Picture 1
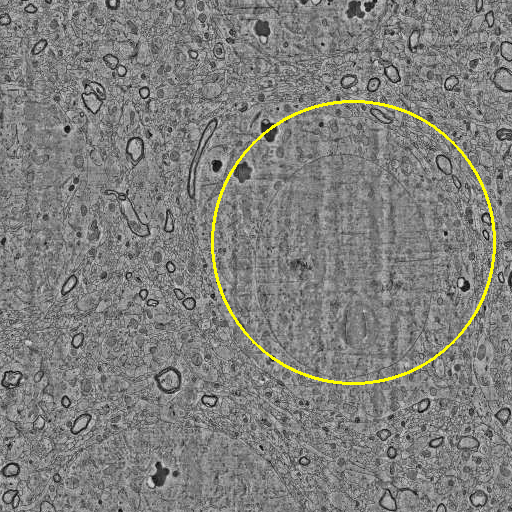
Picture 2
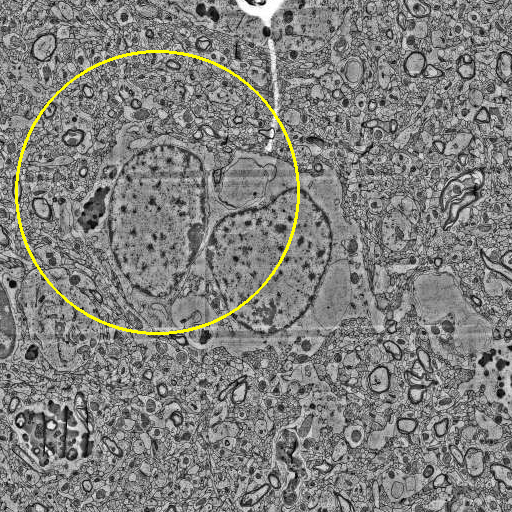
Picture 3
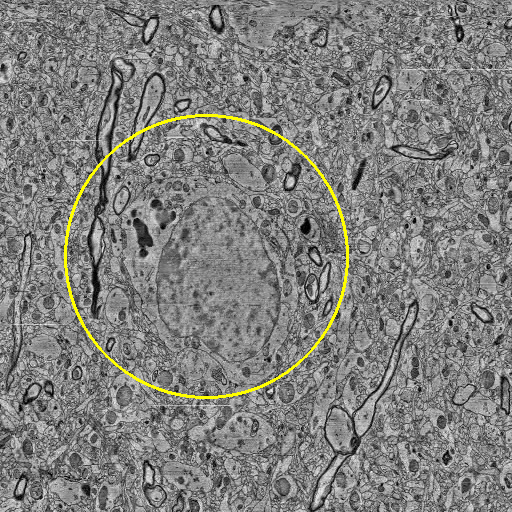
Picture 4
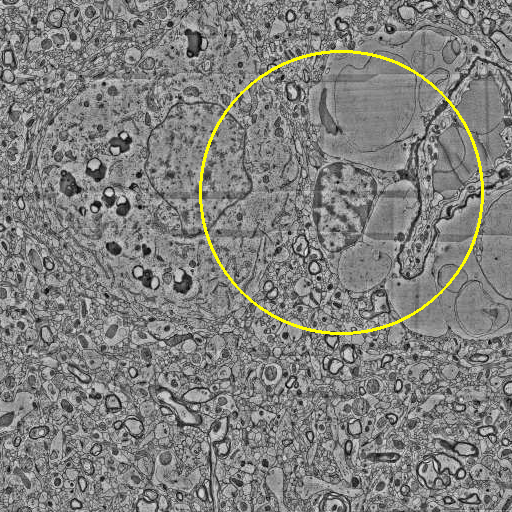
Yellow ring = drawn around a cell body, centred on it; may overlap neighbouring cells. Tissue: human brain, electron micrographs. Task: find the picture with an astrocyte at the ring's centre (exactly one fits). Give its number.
2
